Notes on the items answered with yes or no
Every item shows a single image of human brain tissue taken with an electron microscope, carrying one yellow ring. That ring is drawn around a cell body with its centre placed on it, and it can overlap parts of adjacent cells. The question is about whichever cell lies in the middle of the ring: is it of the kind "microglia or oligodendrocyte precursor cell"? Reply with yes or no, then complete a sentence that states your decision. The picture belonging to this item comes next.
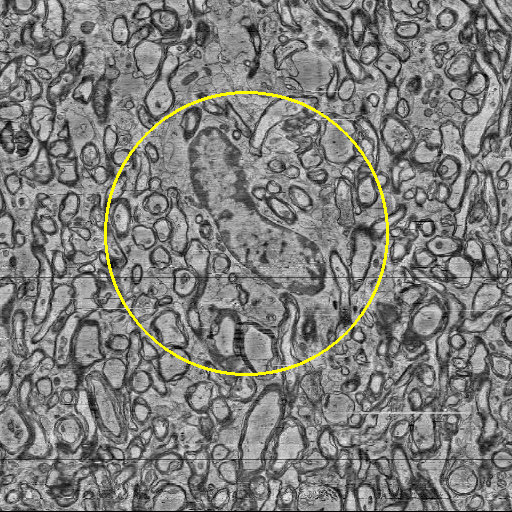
Yes, this micrograph shows a cell of that kind in the middle of the ring.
